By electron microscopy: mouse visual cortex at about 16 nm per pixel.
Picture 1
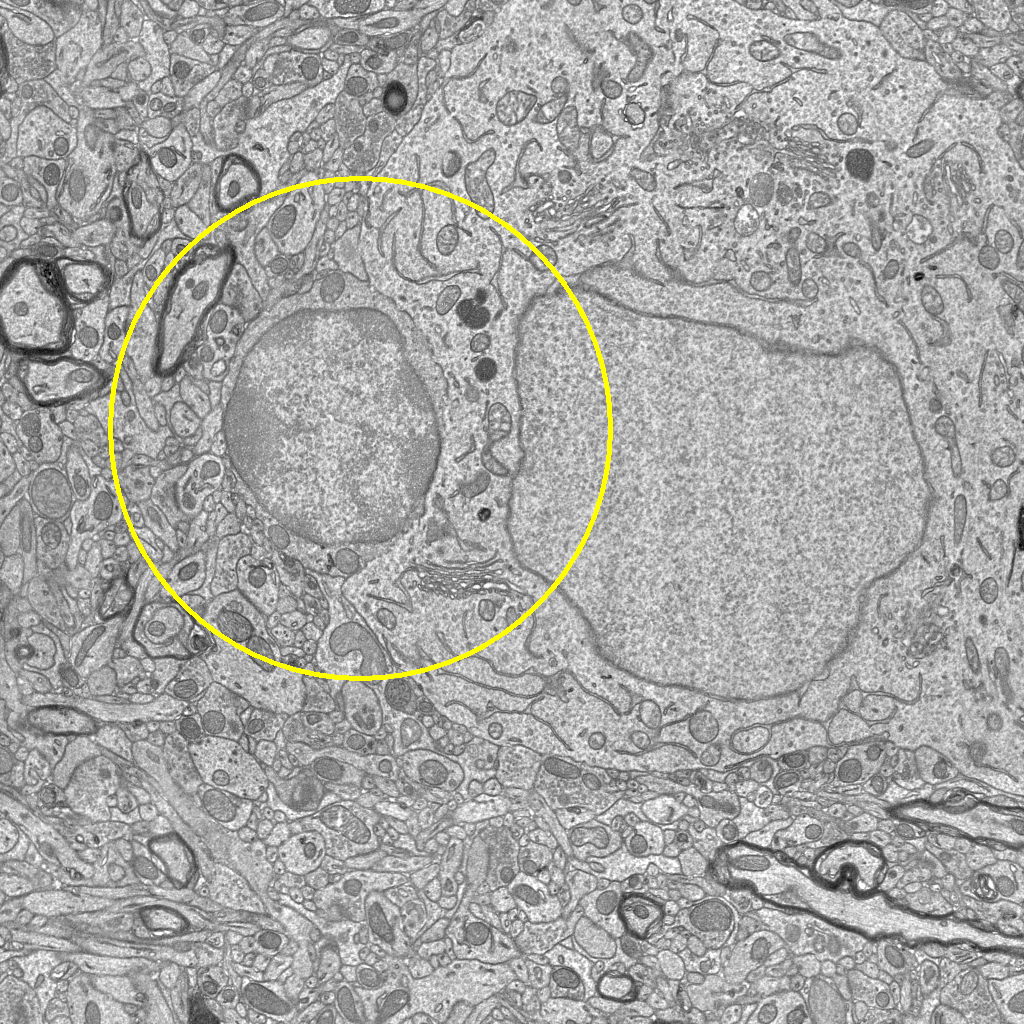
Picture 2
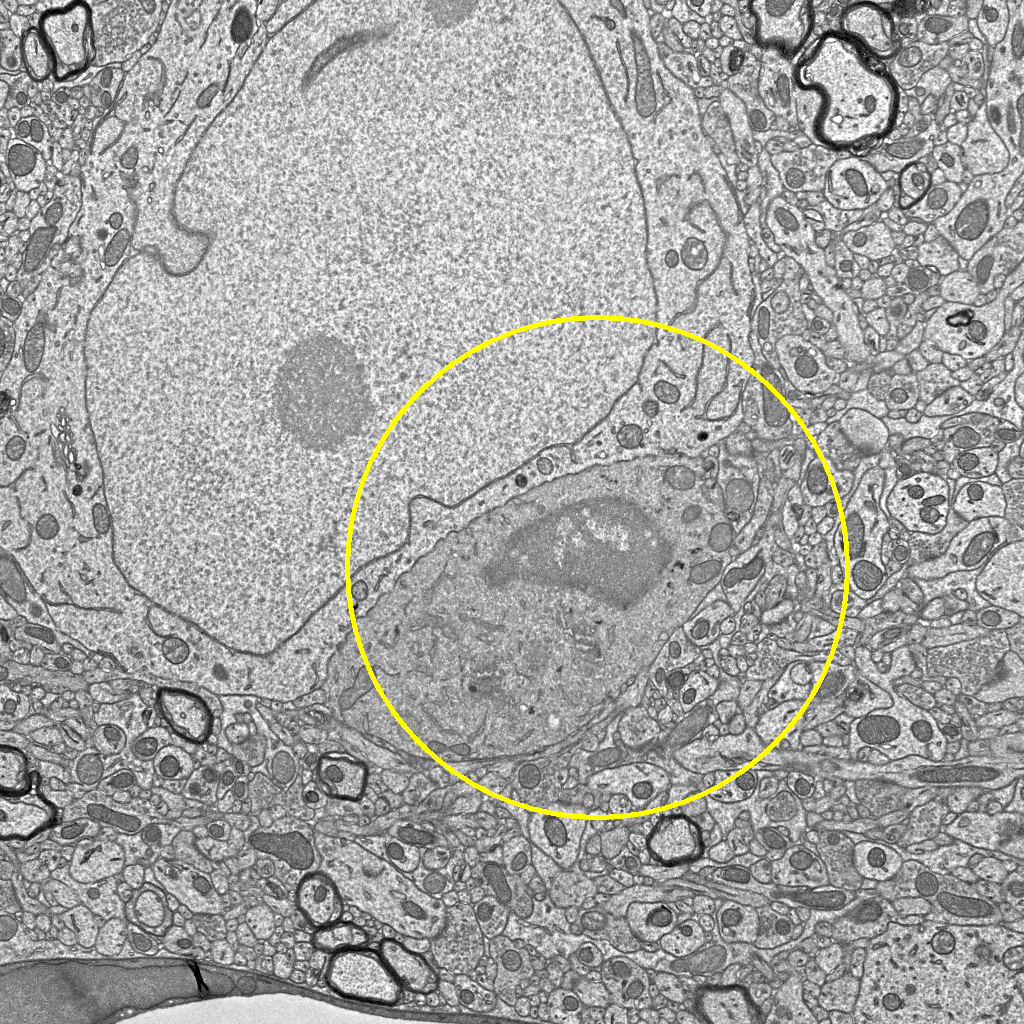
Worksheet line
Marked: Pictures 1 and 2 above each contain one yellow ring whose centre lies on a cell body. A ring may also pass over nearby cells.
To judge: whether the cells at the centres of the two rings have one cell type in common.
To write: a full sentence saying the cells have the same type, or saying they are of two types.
The cells at the centres of the rings in Picture 1 and Picture 2 have the same type.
